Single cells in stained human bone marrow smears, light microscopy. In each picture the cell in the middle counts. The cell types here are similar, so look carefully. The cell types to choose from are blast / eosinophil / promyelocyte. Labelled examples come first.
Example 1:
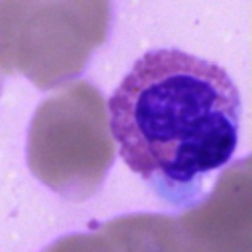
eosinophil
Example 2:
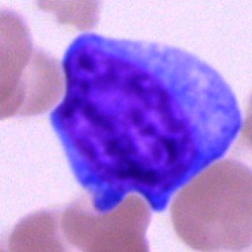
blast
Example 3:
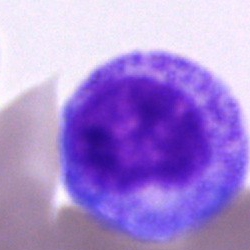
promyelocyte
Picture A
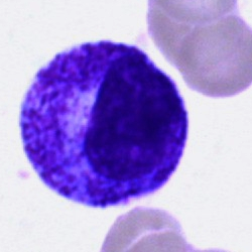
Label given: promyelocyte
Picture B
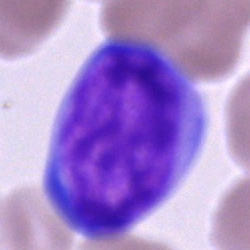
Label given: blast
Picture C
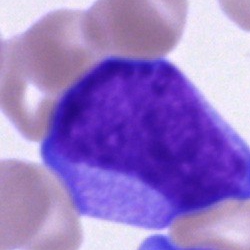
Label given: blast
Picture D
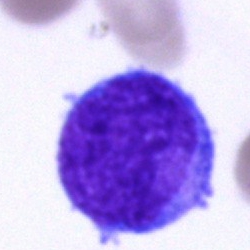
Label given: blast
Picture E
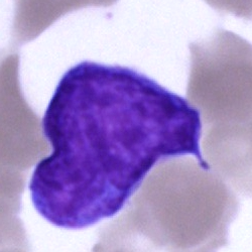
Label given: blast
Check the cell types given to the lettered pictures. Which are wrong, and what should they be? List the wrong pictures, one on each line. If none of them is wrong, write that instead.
Nothing to fix; every label fits.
